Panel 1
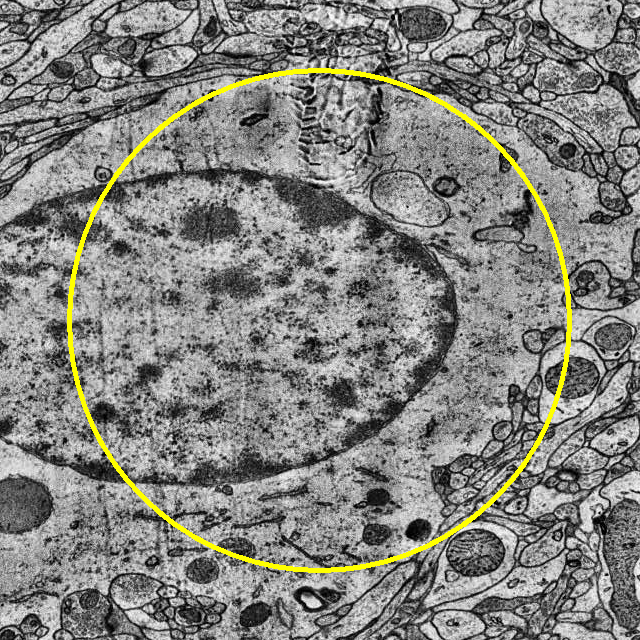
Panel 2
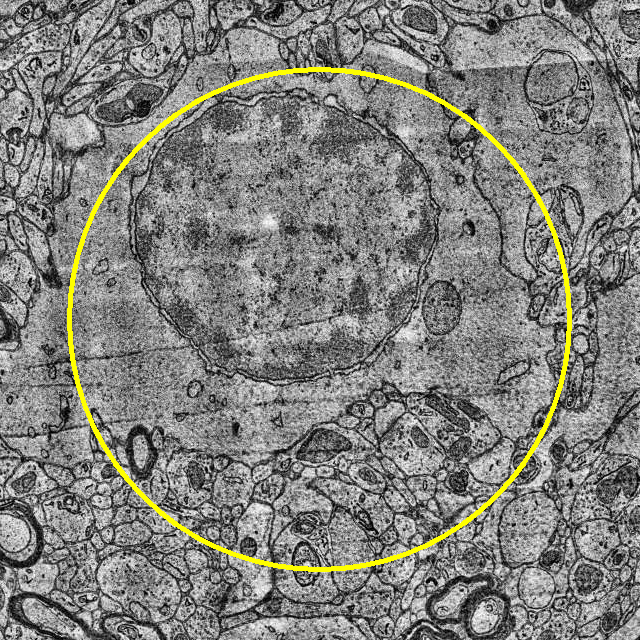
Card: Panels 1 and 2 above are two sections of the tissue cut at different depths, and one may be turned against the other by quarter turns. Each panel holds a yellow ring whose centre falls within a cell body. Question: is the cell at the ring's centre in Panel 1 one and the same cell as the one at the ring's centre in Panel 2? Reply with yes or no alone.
no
